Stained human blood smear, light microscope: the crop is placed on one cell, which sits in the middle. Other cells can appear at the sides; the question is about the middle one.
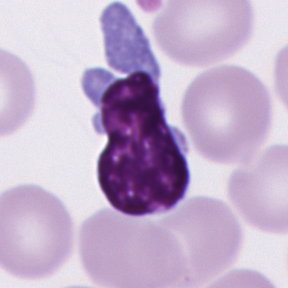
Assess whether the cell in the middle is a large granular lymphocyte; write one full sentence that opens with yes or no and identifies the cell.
No, in this crop the middle cell is a typical lymphocyte, not a large granular lymphocyte.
